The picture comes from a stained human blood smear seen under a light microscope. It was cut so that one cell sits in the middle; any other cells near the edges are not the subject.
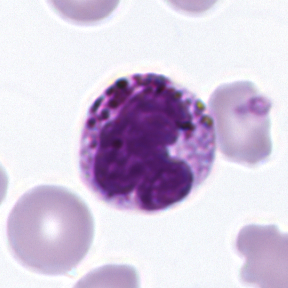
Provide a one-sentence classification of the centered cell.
In this smear crop, the middle cell is a basophil.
